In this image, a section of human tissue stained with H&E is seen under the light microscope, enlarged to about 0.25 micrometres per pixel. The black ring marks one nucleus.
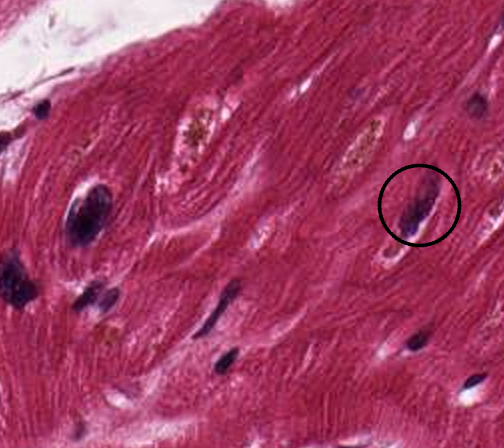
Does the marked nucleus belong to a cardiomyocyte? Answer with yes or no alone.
yes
